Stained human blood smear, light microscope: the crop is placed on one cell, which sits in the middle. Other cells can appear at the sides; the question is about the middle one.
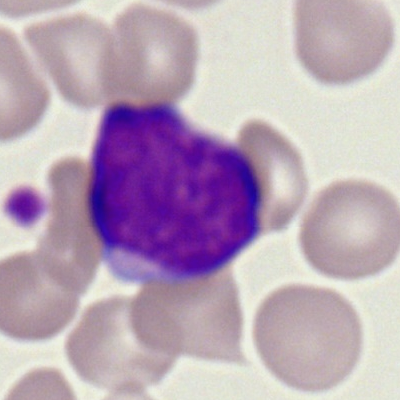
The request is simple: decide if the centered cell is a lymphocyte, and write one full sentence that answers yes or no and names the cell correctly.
No, the middle cell is actually a blast rather than a lymphocyte.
